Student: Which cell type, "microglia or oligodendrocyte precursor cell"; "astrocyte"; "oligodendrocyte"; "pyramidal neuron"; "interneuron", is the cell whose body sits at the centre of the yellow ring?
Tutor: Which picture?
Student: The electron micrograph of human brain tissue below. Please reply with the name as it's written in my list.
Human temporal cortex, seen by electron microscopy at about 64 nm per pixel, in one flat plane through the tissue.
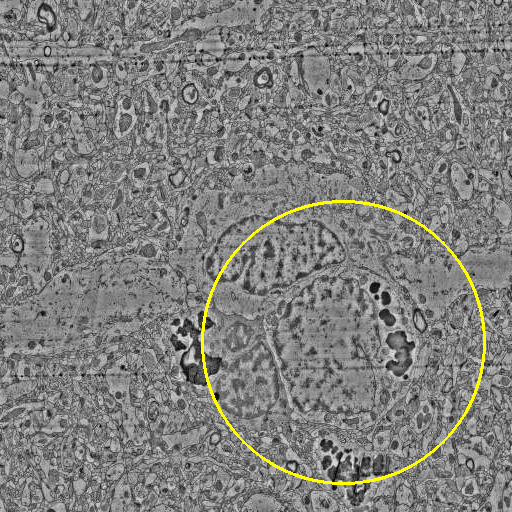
interneuron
